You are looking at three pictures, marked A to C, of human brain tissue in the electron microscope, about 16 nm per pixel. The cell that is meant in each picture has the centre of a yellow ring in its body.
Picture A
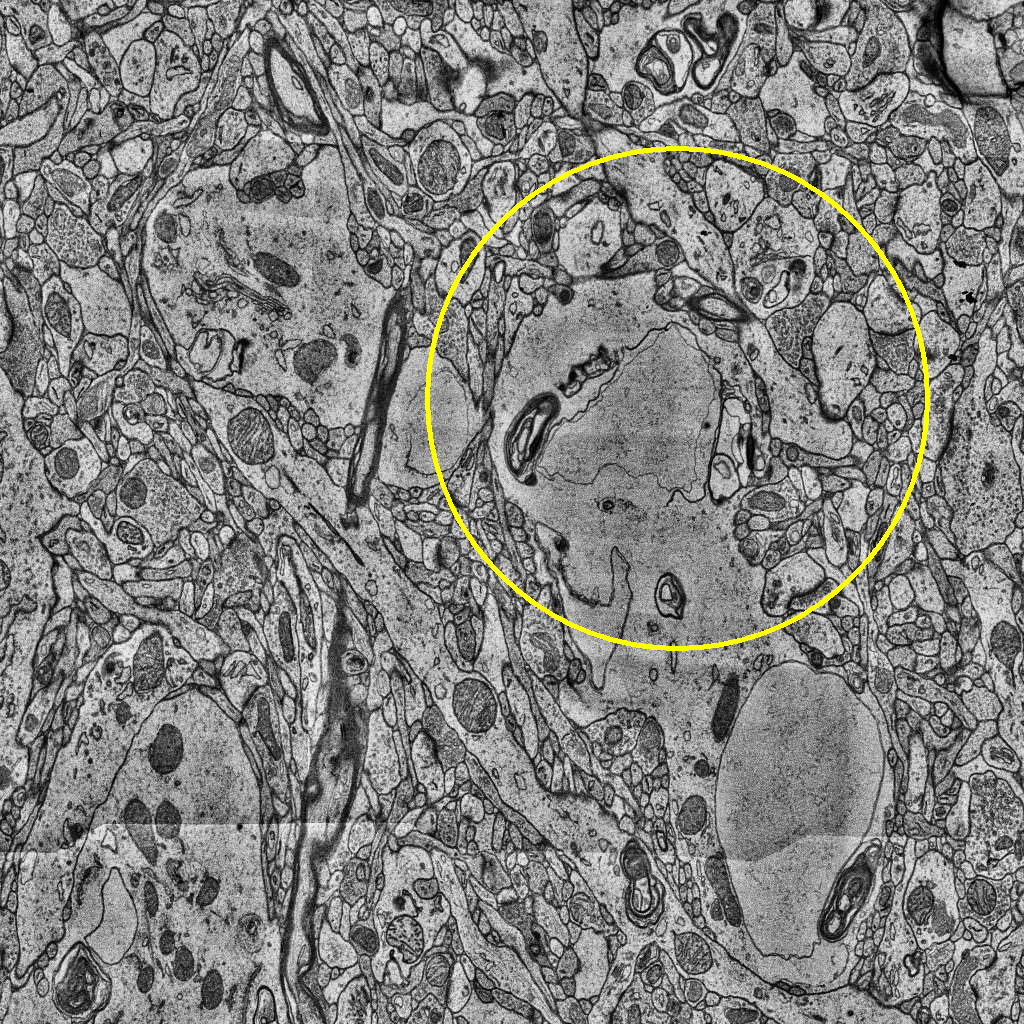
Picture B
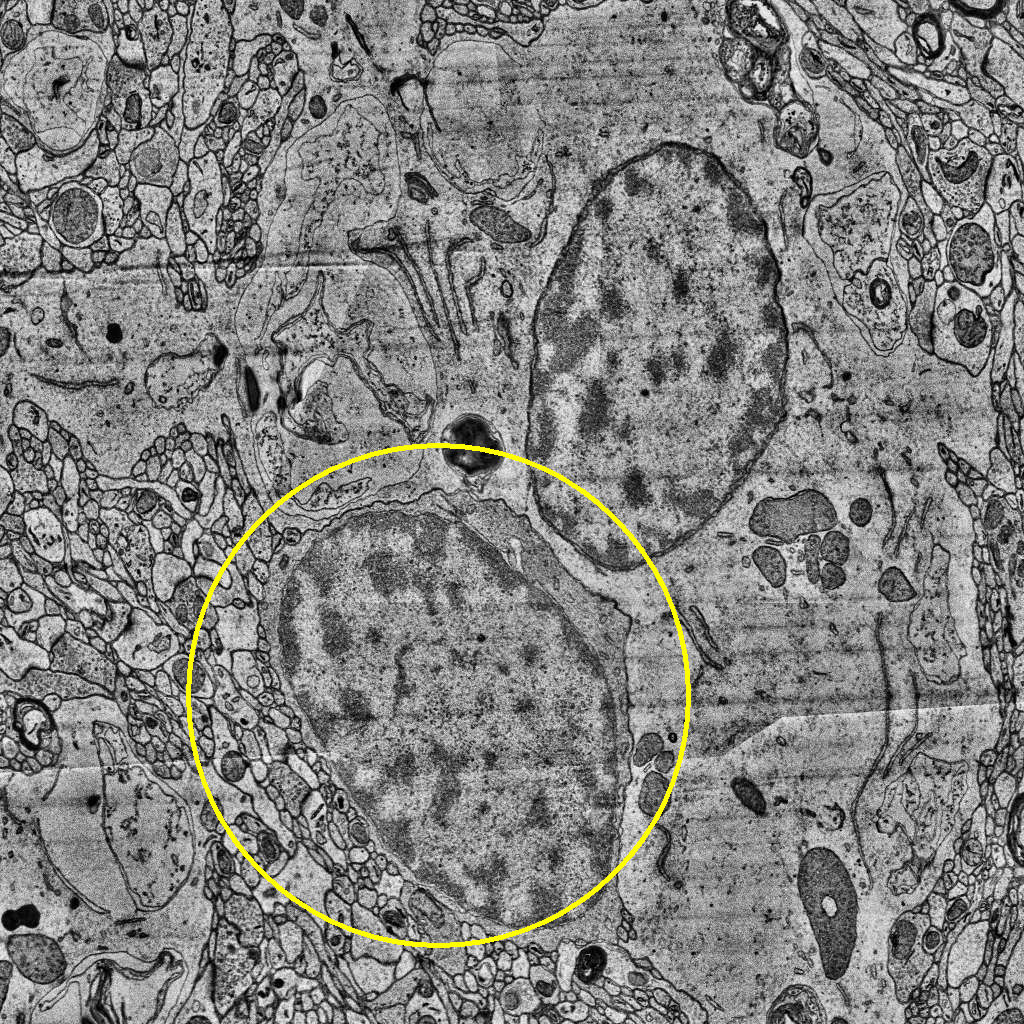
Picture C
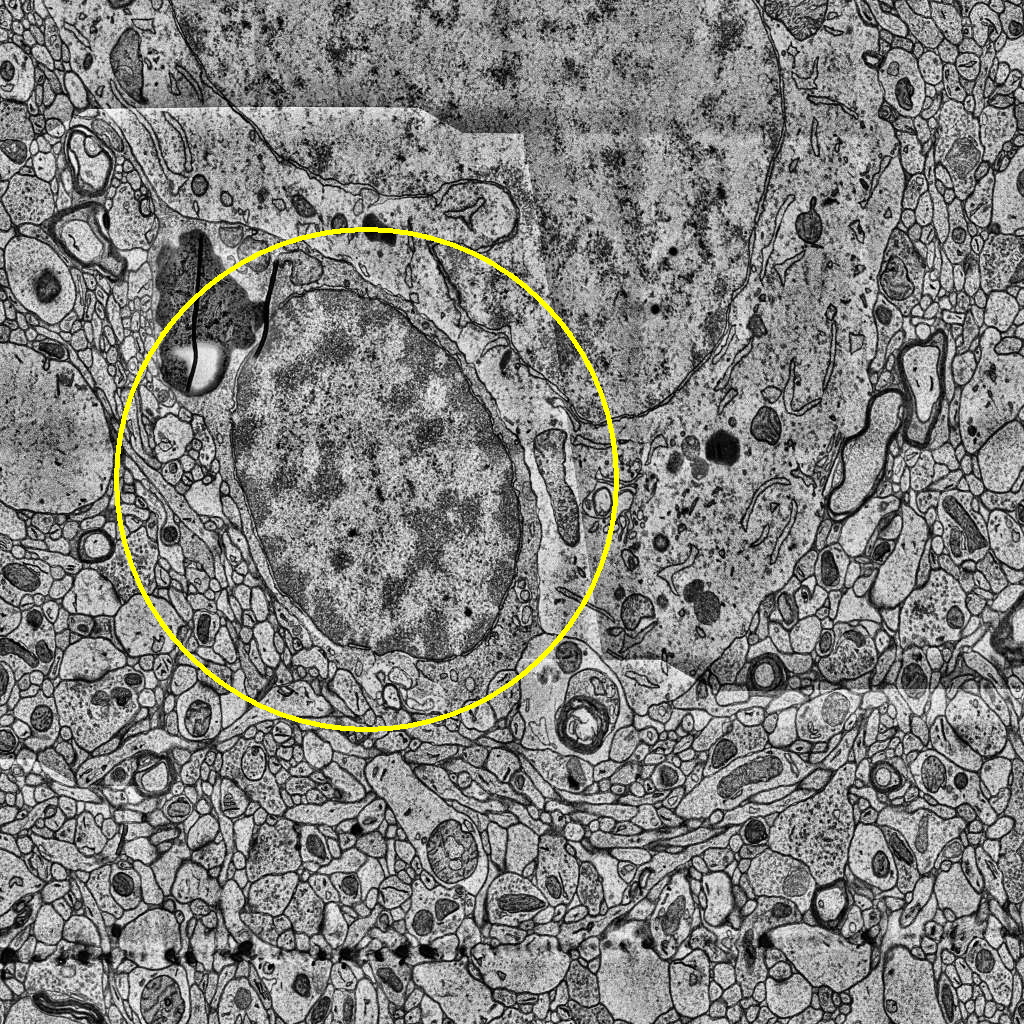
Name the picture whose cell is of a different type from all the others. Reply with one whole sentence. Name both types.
The others show oligodendrocytes, but picture A shows an astrocyte.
